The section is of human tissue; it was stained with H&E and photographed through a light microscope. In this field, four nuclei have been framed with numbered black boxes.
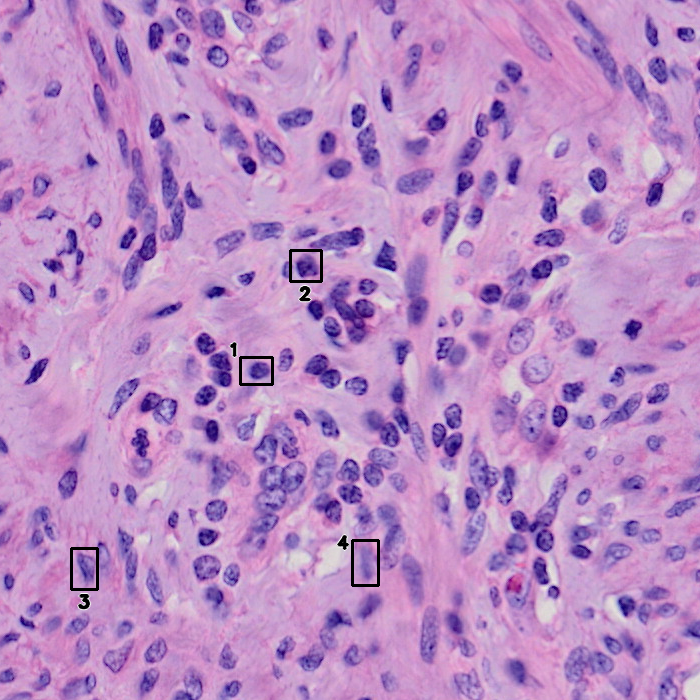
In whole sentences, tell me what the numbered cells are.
Cells 1 and 2 are lymphocytes. Cell 3 is a smooth muscle cell. Cell 4 is a fibroblast.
